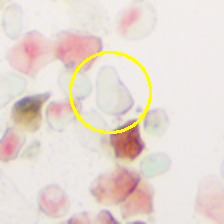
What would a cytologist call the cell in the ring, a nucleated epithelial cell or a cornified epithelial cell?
A cytologist would call it a cornified epithelial cell.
